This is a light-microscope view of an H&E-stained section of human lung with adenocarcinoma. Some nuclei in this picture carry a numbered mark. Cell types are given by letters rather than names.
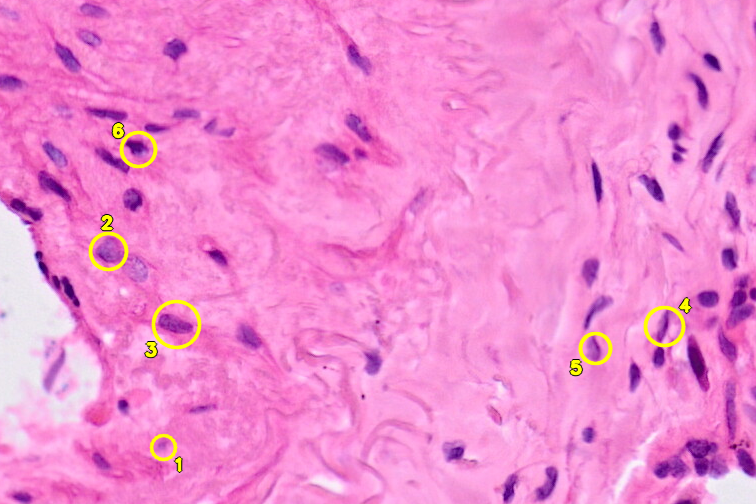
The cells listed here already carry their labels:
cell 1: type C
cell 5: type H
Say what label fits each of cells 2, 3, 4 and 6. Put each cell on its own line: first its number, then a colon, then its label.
2: type C
3: type C
4: type H
6: type C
